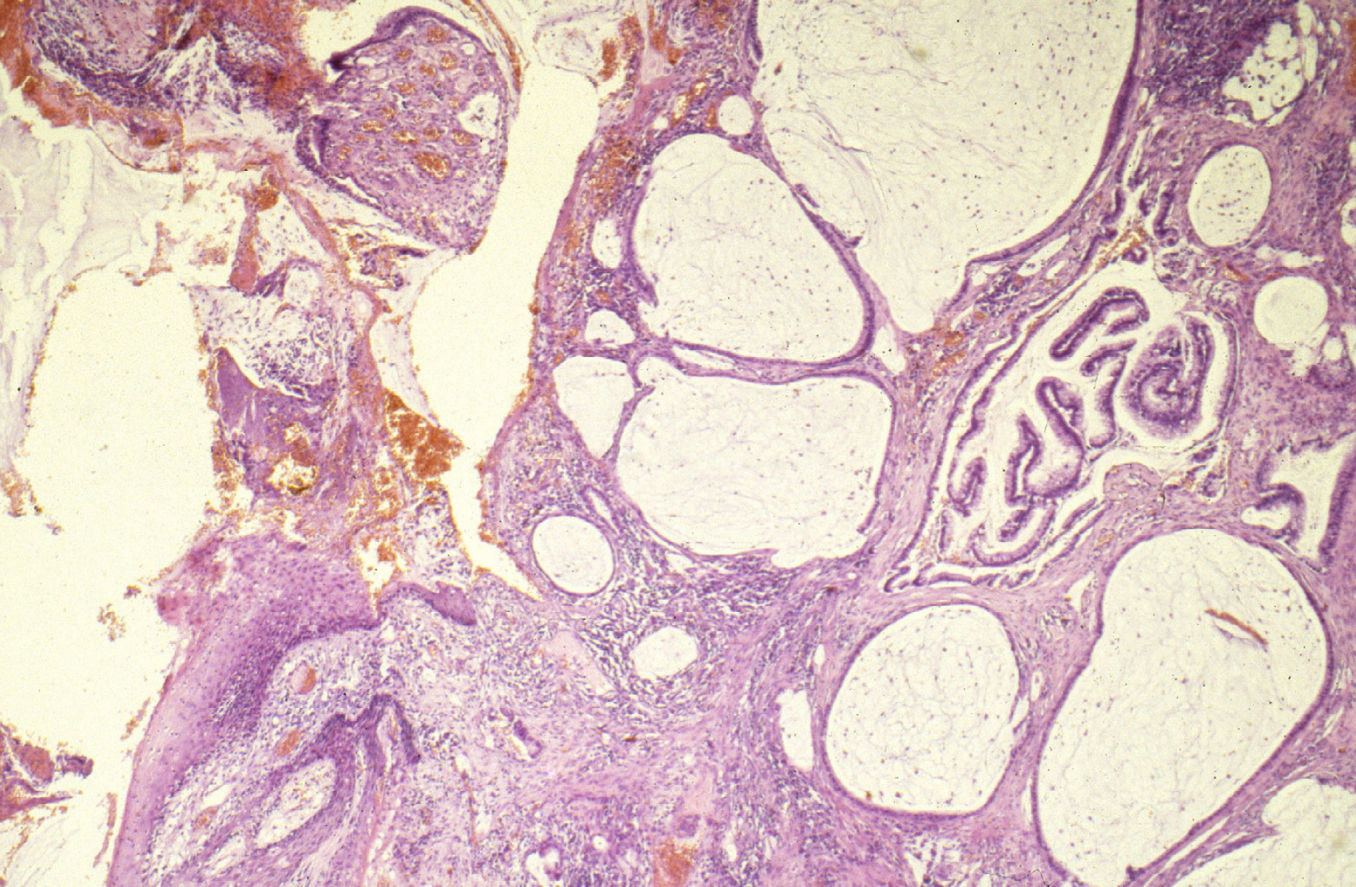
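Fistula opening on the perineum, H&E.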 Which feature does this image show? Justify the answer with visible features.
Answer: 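Many rounded spaces of varying size lie in the tissue. The spaces are filled with pale, faintly stranded material with scattered small nuclei. Thin bands of pink stroma separate the spaces. So: mucus containing cystic spaces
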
